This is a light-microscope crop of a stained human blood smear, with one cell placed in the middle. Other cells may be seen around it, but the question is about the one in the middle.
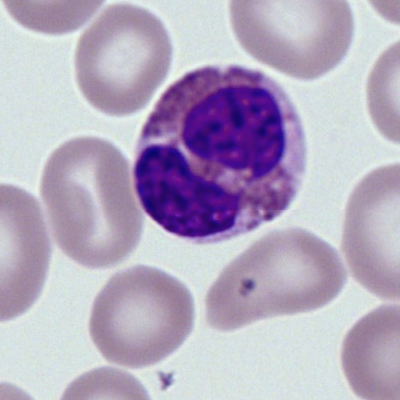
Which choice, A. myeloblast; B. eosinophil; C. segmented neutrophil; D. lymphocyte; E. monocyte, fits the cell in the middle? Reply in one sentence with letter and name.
The cell in the middle is an eosinophil, so option B is correct.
